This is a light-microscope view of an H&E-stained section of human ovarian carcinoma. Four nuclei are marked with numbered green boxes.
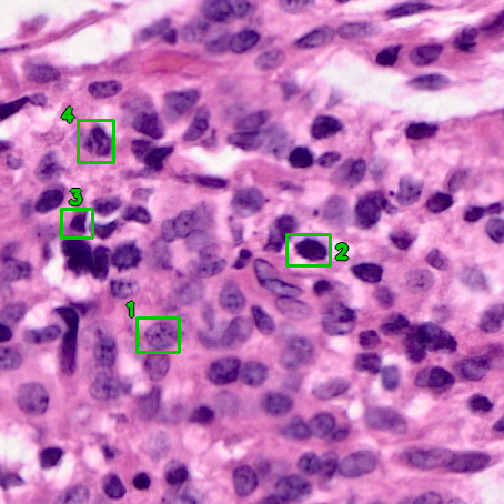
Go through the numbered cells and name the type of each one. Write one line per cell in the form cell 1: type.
cell 1: carcinoma cell
cell 2: carcinoma cell
cell 3: carcinoma cell
cell 4: macrophage or monocyte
